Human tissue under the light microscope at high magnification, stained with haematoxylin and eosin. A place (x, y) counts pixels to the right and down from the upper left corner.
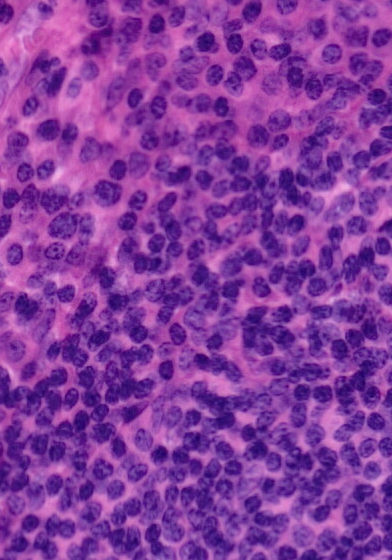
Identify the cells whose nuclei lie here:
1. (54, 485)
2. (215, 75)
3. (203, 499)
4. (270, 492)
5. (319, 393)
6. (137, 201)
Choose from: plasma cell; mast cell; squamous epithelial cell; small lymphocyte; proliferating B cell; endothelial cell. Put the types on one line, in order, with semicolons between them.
small lymphocyte; plasma cell; small lymphocyte; small lymphocyte; small lymphocyte; plasma cell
